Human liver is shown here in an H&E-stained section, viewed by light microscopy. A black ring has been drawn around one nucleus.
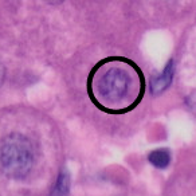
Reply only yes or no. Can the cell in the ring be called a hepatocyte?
yes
